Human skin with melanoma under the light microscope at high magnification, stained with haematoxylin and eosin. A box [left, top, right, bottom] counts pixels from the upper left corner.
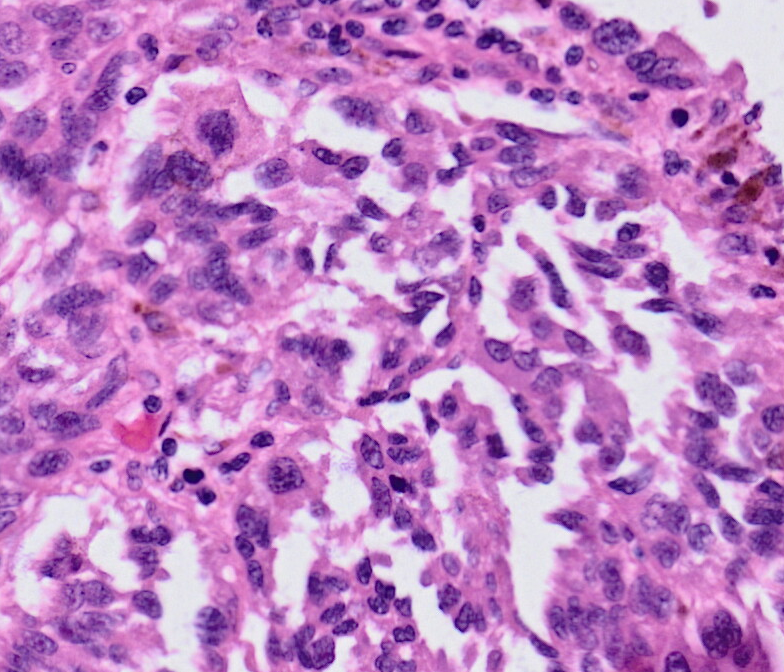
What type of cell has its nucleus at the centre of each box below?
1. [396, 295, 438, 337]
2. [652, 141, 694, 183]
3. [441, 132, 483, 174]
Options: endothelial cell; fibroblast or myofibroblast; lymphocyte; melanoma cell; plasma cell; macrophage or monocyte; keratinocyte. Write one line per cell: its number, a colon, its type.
1: melanoma cell
2: lymphocyte
3: melanoma cell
